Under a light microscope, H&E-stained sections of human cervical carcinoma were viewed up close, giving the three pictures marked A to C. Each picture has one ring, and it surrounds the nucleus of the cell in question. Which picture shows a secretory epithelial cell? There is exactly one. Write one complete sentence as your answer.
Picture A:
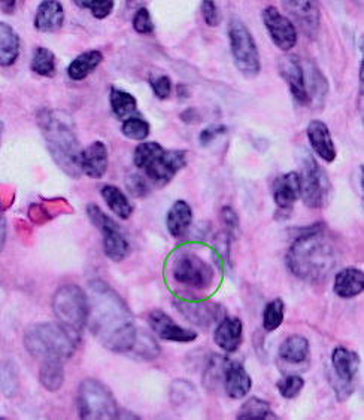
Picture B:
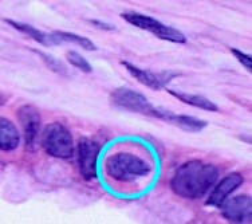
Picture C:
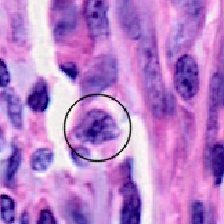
The picture with the secretory epithelial cell is B.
